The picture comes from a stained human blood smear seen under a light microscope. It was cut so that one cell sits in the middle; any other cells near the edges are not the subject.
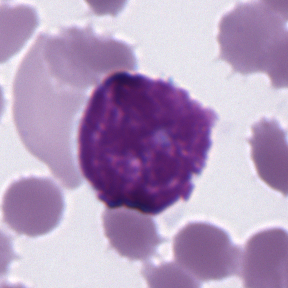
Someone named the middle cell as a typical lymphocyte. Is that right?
no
